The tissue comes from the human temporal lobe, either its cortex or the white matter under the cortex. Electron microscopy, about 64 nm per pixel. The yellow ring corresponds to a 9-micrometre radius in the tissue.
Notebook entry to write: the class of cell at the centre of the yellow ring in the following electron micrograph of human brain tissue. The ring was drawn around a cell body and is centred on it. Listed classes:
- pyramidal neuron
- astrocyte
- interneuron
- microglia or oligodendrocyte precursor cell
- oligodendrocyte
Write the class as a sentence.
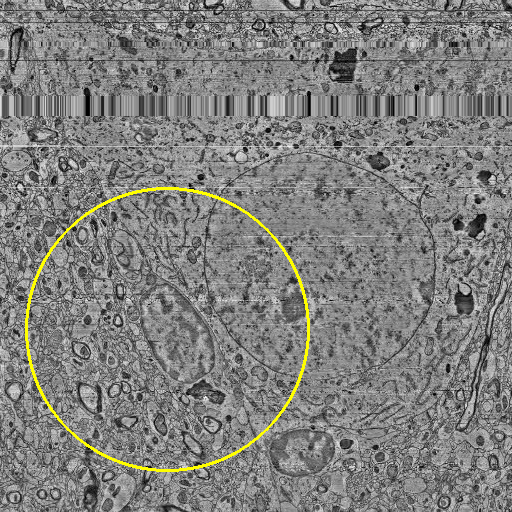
The yellow ring sits on an oligodendrocyte.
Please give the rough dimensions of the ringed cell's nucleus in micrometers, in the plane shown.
The nucleus measures about 7 by 4 micrometres, so it is clearly longer than it is wide in this plane.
